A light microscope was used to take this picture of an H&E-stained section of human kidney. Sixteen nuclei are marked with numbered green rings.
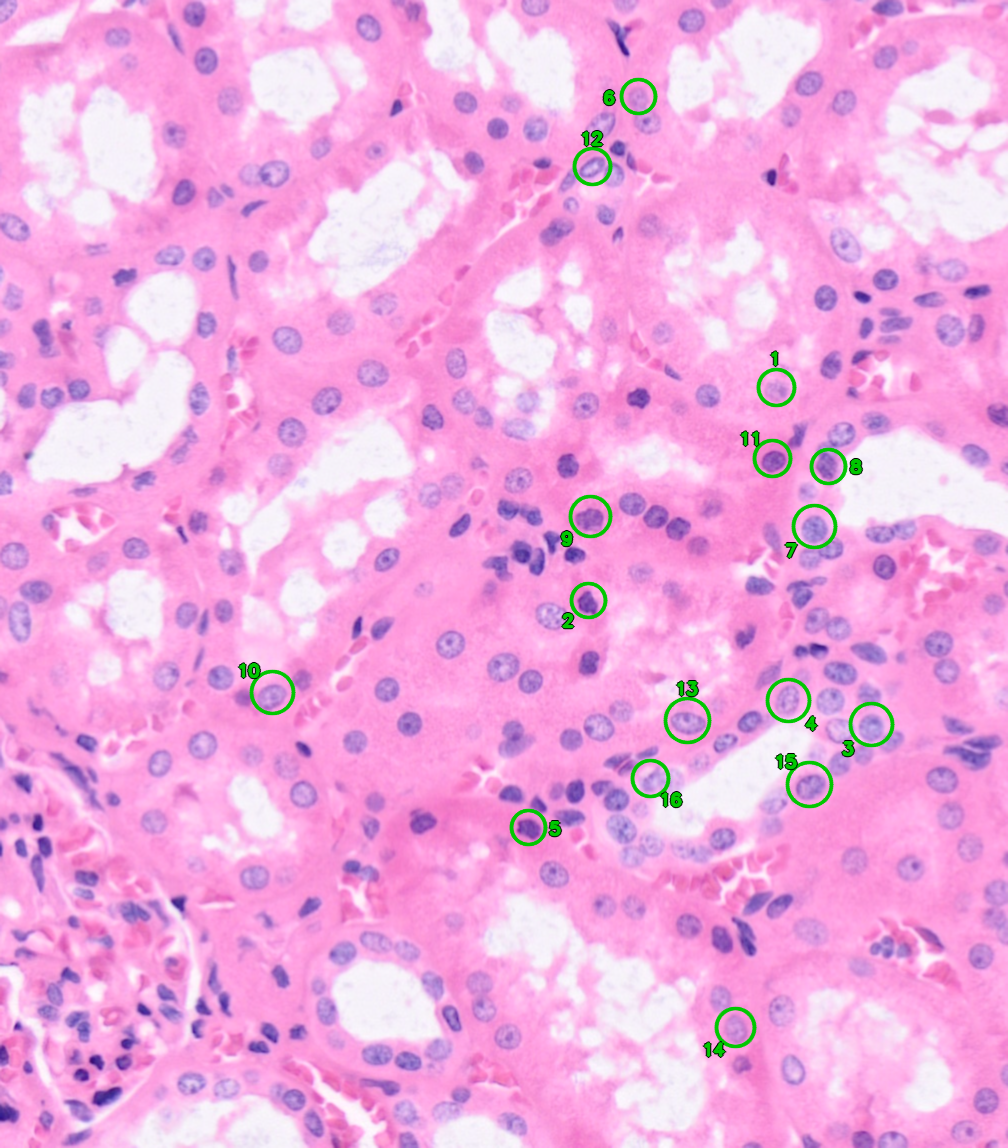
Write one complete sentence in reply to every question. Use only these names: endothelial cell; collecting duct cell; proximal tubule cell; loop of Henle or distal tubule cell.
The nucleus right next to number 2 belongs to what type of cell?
The cell nearest to number 2 is a proximal tubule cell.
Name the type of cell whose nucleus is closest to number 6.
Closest to number 6 lies the nucleus of a proximal tubule cell.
